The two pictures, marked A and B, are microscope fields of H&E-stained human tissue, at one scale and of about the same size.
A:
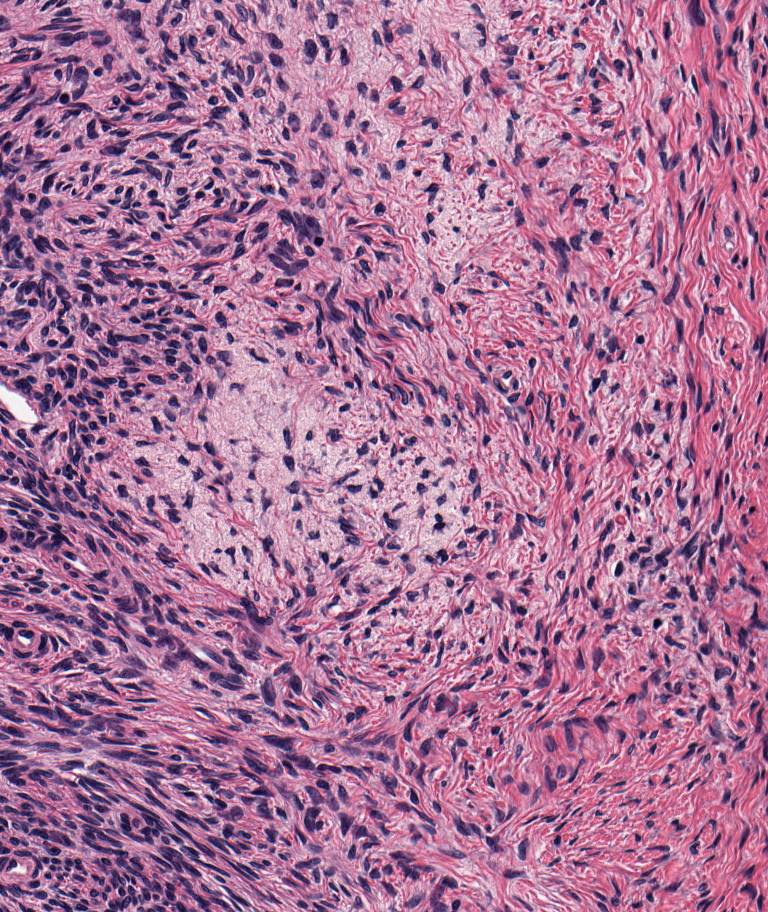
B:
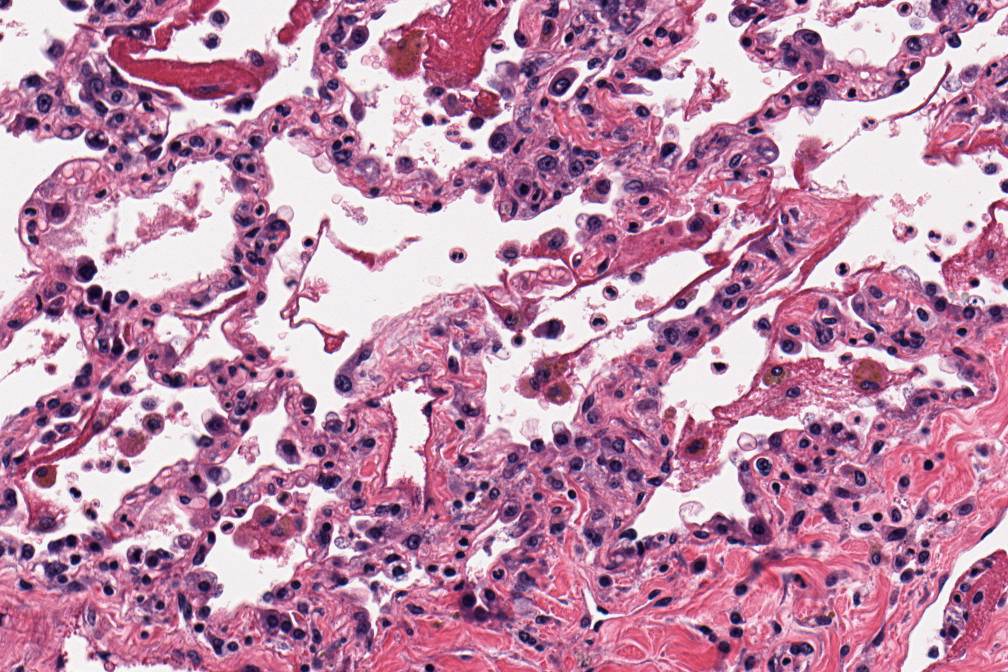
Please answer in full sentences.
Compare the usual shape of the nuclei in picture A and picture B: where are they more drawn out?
Longer, more slender nuclei lie in picture A.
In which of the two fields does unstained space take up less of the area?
It is picture A that stained tissue fills more completely.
